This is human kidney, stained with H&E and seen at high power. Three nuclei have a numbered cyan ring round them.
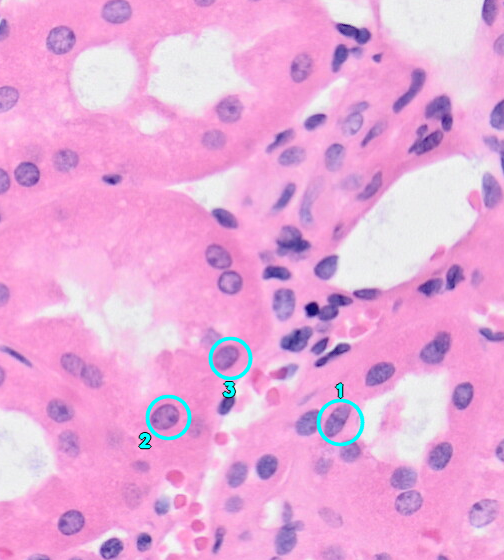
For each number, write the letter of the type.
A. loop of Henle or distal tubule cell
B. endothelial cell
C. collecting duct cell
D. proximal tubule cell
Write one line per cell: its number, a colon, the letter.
1: A
2: D
3: D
